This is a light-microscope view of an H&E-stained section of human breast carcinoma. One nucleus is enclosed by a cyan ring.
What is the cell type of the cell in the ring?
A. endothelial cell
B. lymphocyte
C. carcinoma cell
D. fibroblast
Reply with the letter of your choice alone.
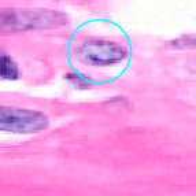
A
